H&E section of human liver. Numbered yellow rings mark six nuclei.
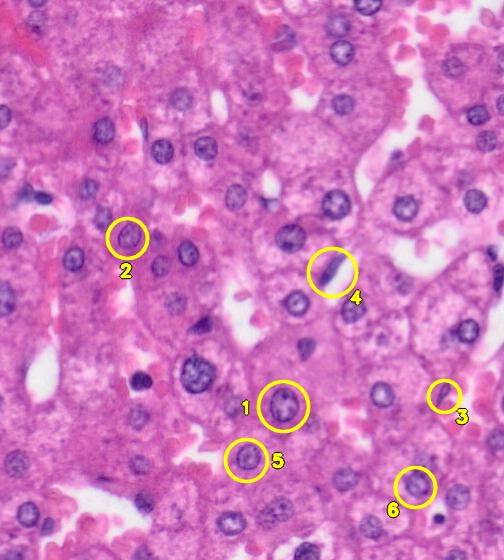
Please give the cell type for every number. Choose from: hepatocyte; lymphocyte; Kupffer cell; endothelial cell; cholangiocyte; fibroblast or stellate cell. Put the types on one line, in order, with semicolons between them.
hepatocyte; hepatocyte; endothelial cell; Kupffer cell; hepatocyte; hepatocyte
